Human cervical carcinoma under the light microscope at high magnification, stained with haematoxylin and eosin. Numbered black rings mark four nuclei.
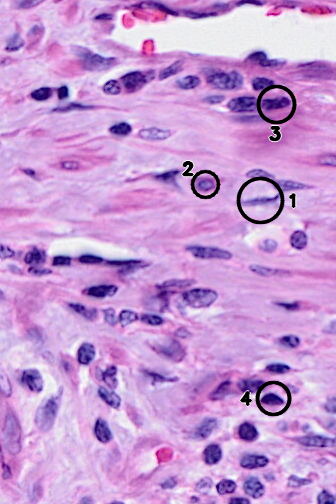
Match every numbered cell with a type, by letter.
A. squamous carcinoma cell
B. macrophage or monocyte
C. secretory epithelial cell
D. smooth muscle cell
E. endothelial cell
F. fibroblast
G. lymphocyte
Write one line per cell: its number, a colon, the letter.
1: F
2: D
3: G
4: G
